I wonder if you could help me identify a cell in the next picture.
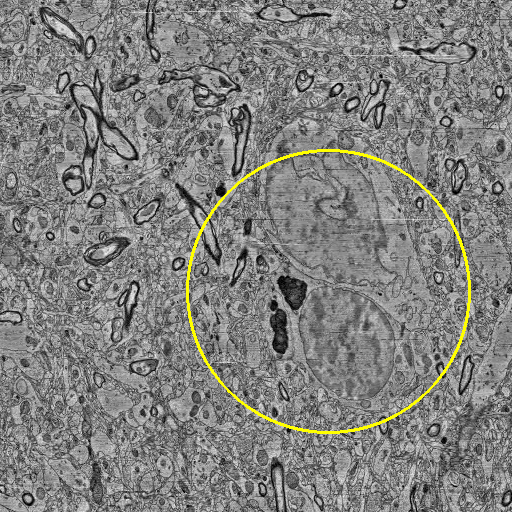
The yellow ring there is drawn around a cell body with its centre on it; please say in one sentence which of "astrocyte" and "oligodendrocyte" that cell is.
The yellow ring is centred on an oligodendrocyte.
